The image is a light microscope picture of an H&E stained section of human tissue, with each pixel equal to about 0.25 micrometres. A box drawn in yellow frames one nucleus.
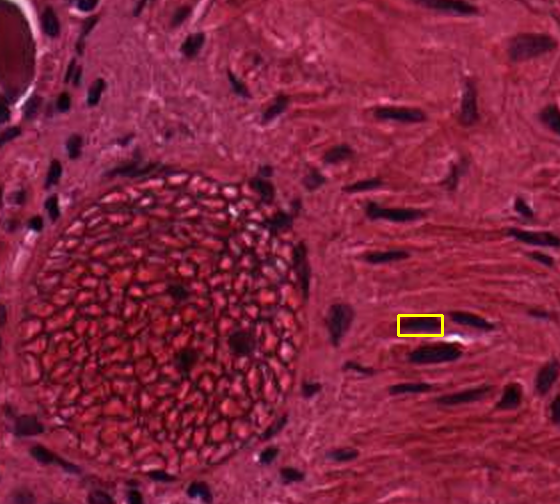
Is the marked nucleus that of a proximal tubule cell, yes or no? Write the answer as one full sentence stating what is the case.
No, the marked nucleus belongs to something other than a proximal tubule cell.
